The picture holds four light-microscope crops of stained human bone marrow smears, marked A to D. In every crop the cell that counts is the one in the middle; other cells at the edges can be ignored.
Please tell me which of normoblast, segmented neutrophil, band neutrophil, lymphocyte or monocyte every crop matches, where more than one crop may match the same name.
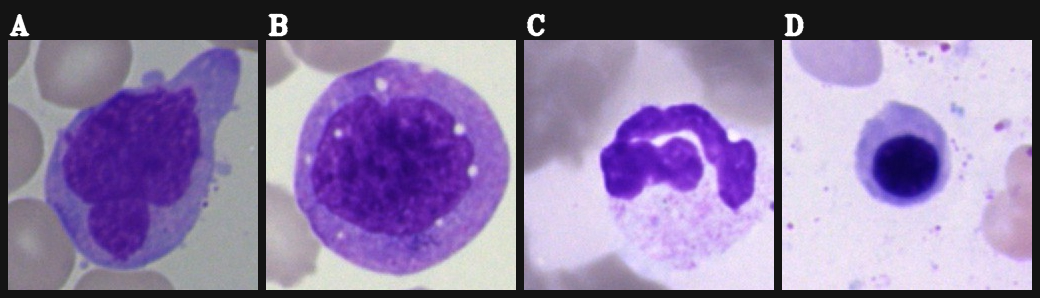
A: monocyte
B: monocyte
C: segmented neutrophil
D: normoblast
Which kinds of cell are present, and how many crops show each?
monocyte: 2
segmented neutrophil: 1
normoblast: 1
